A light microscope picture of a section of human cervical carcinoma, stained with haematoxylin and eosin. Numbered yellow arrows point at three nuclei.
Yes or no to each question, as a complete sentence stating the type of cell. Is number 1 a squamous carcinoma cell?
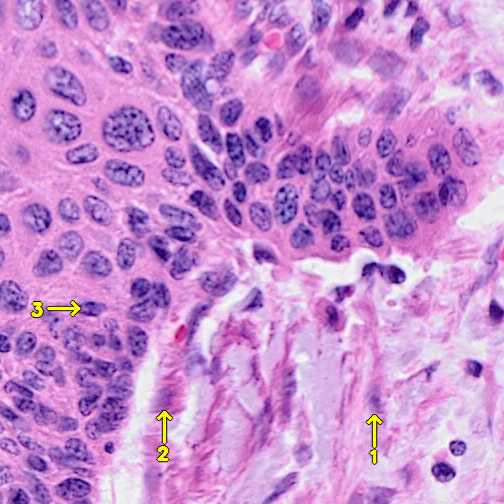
No, at number 1 sits a fibroblast, not a squamous carcinoma cell.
